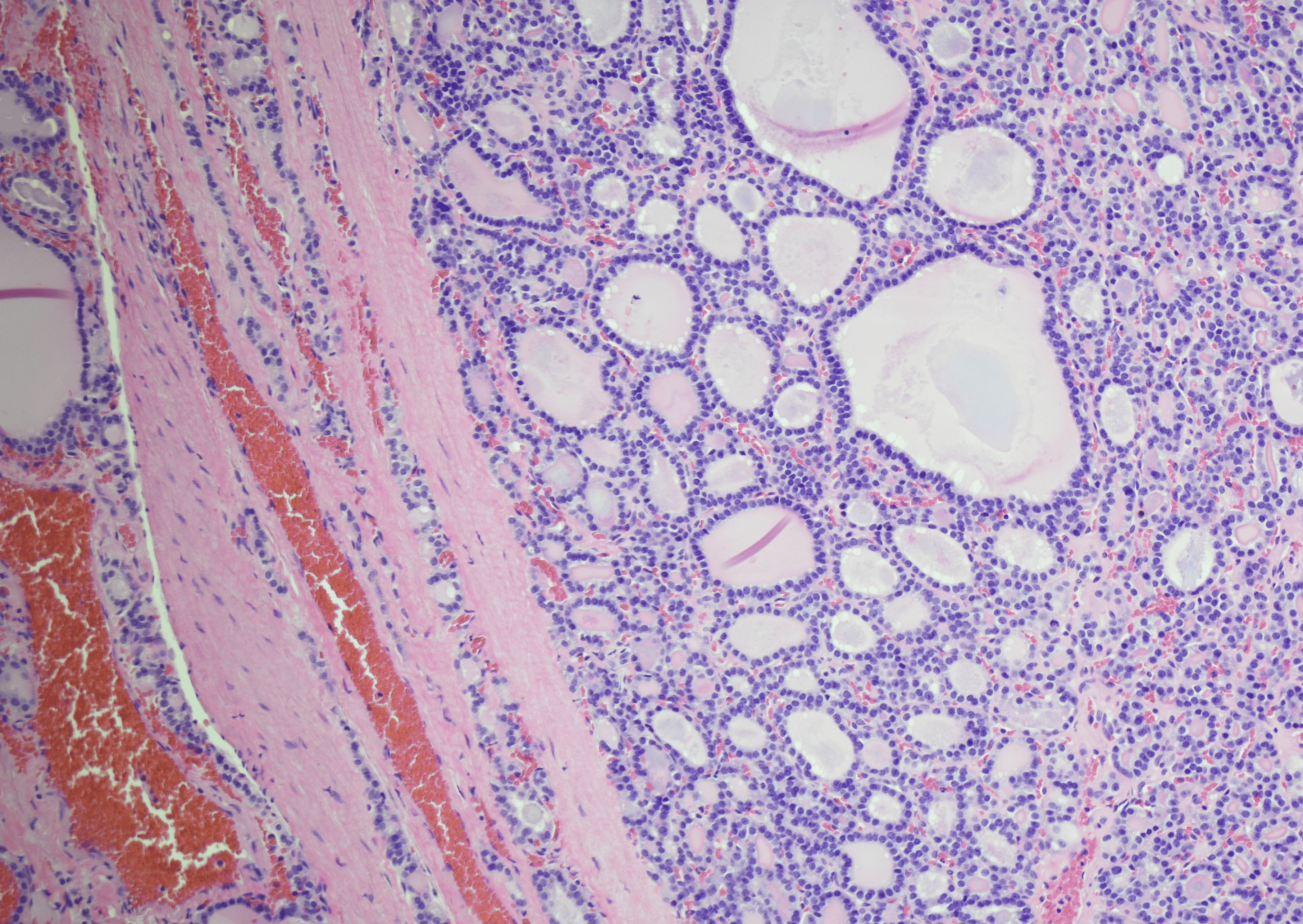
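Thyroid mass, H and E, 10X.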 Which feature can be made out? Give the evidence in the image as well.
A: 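Encapsulated neoplasm. A broad band of pink fibrous tissue runs obliquely down the left side. Large congested blood vessels filled with red cells lie within or beside this band. The crowded small follicles lie to the right of the band, and separate follicles lie beyond it at the far left.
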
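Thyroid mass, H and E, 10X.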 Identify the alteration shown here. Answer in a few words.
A: Predominantly microfollicular architecture.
